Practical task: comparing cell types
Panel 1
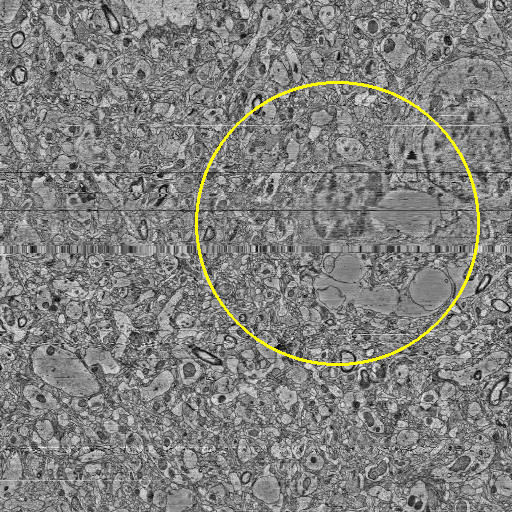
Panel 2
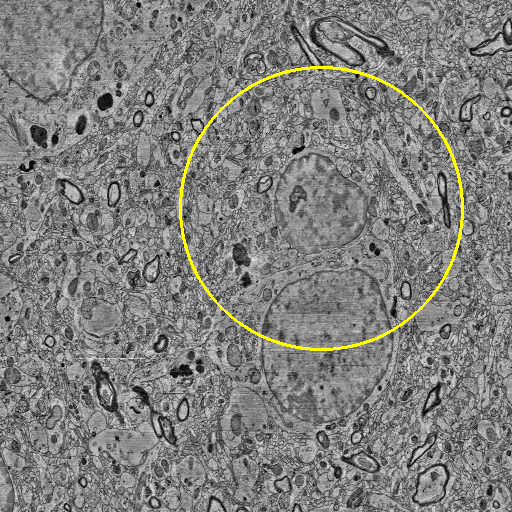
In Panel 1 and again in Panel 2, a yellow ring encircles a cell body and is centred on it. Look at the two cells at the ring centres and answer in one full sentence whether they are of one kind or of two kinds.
The two cells sitting at the ring centres of Panels 1 and 2 are of one kind.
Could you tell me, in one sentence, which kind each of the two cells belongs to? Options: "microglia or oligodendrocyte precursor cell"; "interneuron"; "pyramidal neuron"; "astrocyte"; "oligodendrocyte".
Both cells are the same kind, each one being an oligodendrocyte.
